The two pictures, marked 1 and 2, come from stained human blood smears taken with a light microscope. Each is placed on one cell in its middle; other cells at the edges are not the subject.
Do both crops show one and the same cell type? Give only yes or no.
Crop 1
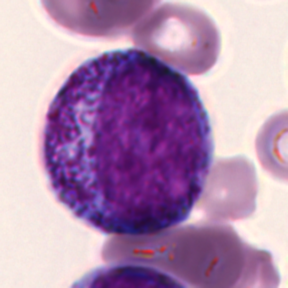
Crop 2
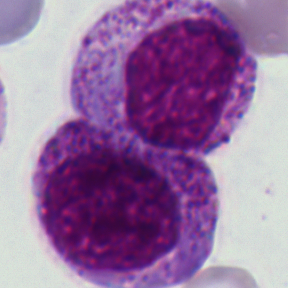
no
